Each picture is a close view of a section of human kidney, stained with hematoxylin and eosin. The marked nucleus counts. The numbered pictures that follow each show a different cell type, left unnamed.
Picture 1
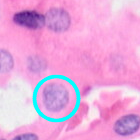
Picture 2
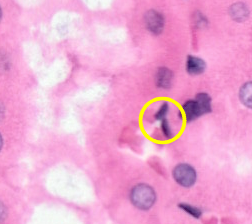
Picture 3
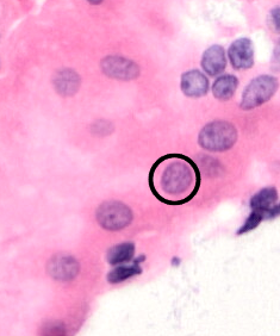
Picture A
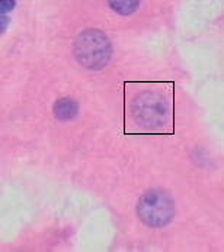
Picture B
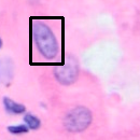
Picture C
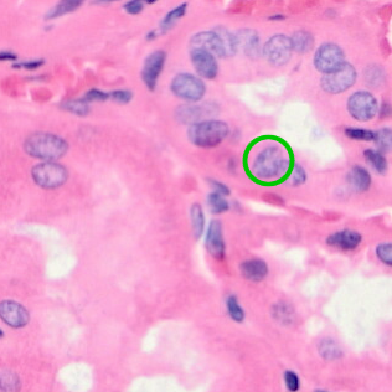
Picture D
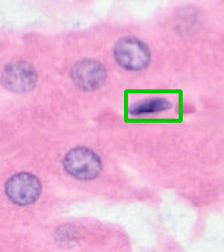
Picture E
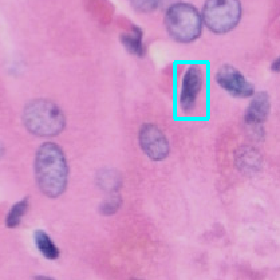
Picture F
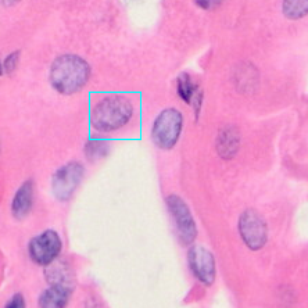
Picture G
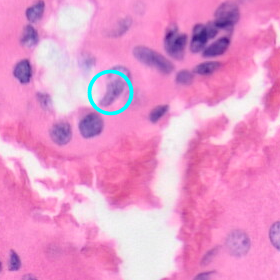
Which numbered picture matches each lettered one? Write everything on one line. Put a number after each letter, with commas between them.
A 3, B 3, C 1, D 2, E 2, F 1, G 1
